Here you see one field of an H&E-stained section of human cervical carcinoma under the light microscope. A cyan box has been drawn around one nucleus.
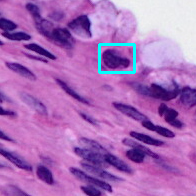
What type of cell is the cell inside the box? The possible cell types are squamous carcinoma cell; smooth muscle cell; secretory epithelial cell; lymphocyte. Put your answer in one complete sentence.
In this tissue section, the cell inside the box is to be classed as a secretory epithelial cell.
